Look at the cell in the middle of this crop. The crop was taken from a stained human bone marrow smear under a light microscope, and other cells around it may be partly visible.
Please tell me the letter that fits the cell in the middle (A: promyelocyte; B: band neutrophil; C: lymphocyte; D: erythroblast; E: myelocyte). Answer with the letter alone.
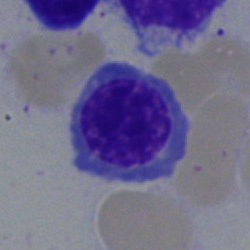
D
